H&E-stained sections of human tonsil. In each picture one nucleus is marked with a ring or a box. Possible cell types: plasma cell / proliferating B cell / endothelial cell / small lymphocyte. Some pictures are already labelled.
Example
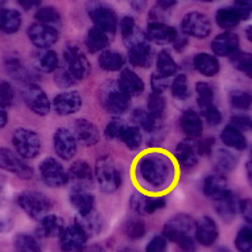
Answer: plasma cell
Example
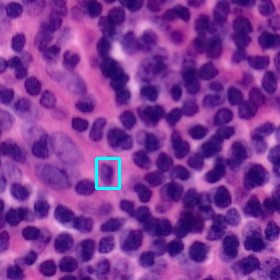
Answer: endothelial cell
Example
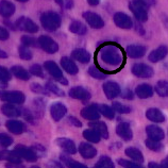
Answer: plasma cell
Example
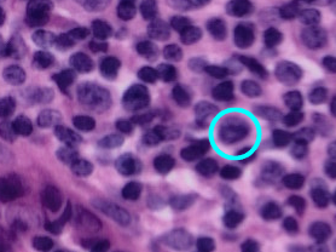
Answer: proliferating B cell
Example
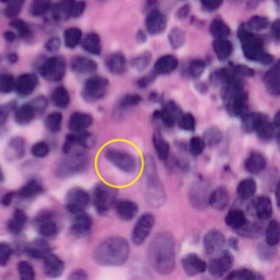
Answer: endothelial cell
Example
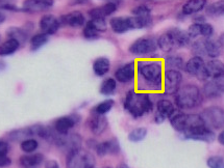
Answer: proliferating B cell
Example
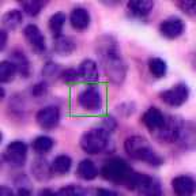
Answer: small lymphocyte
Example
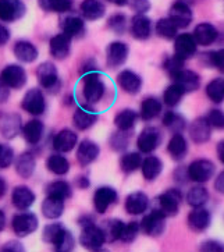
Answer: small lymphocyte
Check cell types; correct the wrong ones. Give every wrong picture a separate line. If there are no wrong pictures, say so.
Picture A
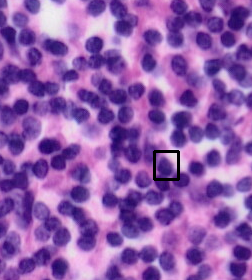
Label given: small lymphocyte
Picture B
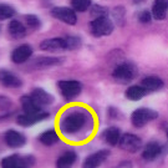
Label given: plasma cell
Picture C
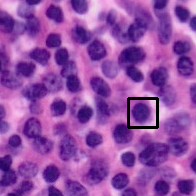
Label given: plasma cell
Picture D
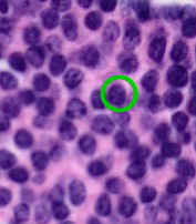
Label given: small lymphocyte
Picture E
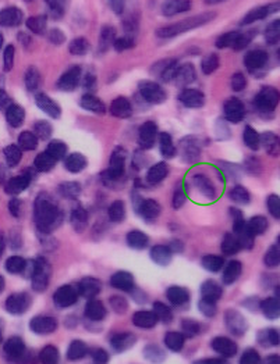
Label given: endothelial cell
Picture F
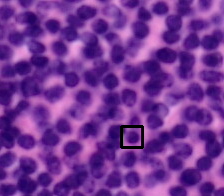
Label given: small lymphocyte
No label is wrong.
